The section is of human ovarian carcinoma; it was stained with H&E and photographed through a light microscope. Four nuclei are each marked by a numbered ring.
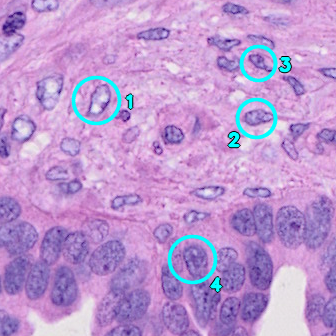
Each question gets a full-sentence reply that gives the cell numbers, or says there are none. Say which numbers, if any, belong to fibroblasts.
The cells given the numbers 1, 2 and 3 are fibroblasts.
